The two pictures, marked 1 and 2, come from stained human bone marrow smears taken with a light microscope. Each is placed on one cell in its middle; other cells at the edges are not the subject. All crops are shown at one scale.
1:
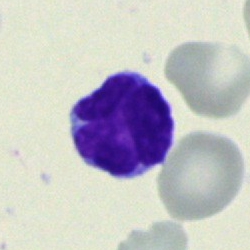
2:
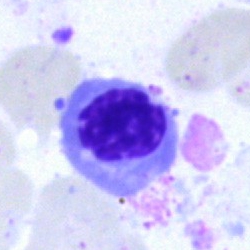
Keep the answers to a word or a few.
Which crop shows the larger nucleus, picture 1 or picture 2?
1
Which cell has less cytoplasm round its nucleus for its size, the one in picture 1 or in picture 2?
1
